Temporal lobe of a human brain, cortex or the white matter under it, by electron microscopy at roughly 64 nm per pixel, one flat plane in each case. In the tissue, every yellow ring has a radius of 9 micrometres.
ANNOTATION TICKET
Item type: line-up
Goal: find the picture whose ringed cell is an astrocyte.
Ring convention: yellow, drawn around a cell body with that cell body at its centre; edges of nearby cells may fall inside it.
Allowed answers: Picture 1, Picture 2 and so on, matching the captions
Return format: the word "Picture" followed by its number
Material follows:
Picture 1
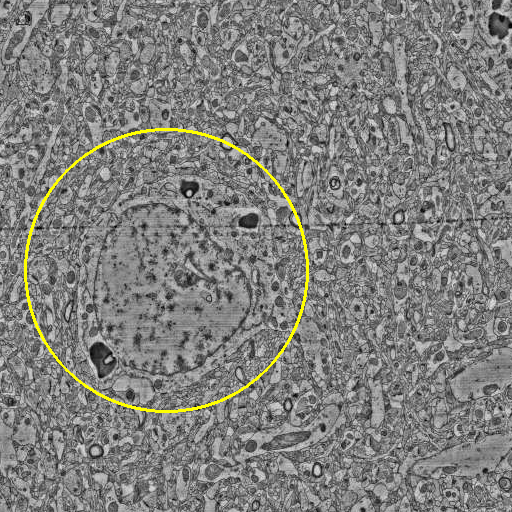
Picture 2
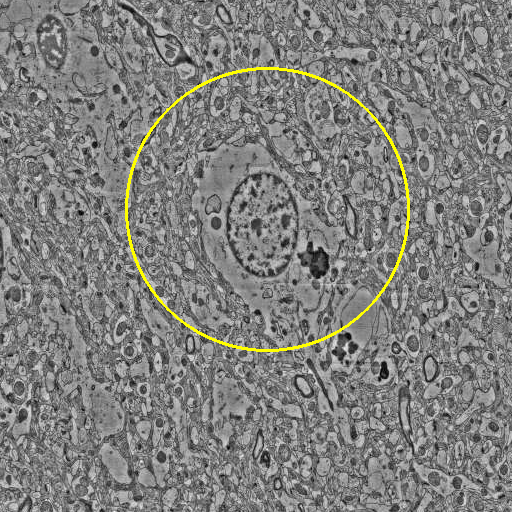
Picture 2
